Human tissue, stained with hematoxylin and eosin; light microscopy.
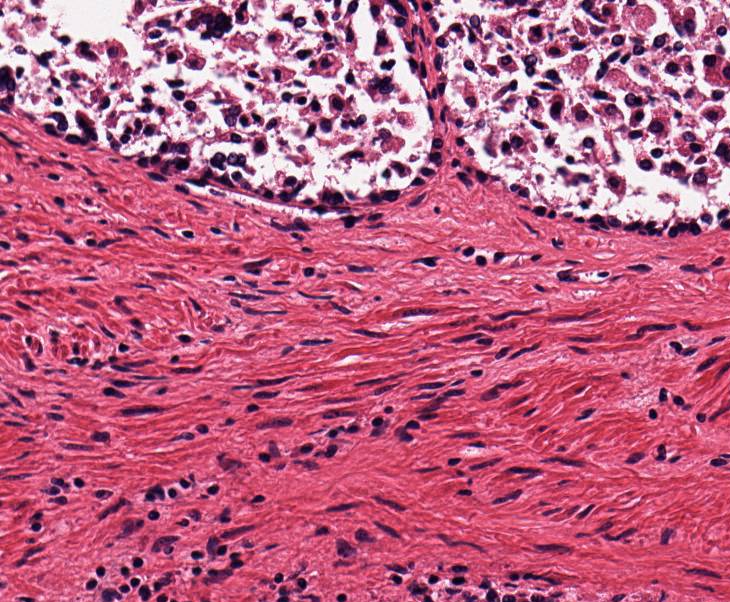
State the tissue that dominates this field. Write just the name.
fibromuscular stroma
